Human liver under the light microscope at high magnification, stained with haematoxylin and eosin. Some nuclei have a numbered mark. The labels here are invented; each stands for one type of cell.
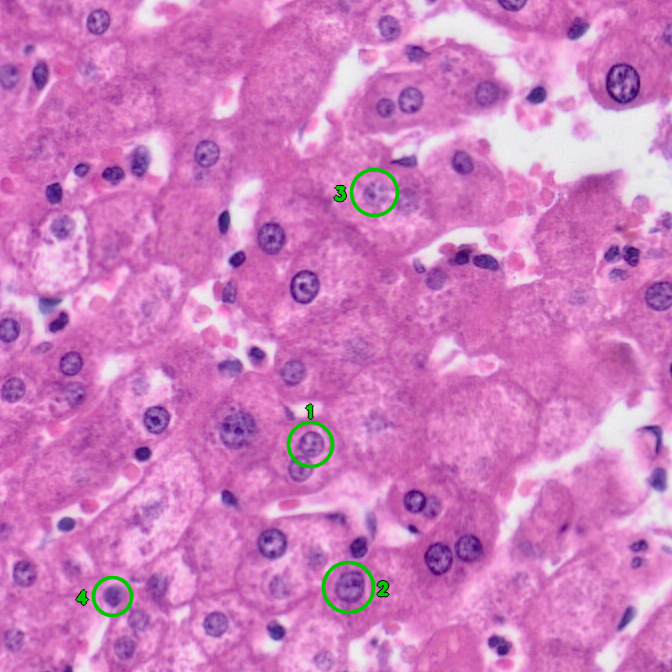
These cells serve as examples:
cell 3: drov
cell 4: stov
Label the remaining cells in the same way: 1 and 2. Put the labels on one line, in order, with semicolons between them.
drov; drov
